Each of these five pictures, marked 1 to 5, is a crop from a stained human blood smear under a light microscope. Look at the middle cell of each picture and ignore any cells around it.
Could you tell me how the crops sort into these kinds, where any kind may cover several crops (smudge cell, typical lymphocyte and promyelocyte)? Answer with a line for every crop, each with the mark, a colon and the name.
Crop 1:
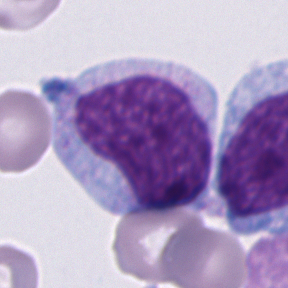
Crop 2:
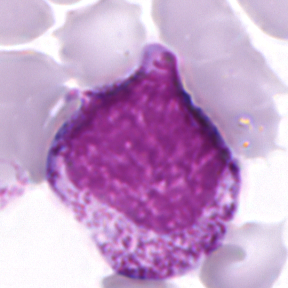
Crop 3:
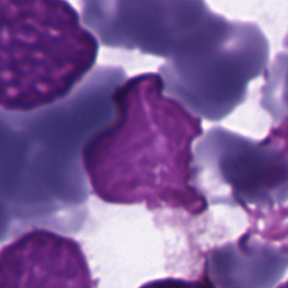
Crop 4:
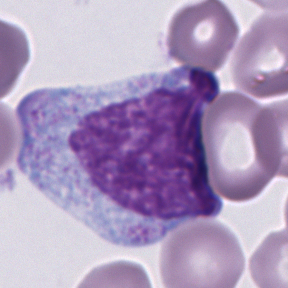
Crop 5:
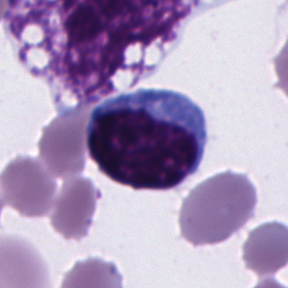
1: promyelocyte
2: promyelocyte
3: smudge cell
4: promyelocyte
5: typical lymphocyte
